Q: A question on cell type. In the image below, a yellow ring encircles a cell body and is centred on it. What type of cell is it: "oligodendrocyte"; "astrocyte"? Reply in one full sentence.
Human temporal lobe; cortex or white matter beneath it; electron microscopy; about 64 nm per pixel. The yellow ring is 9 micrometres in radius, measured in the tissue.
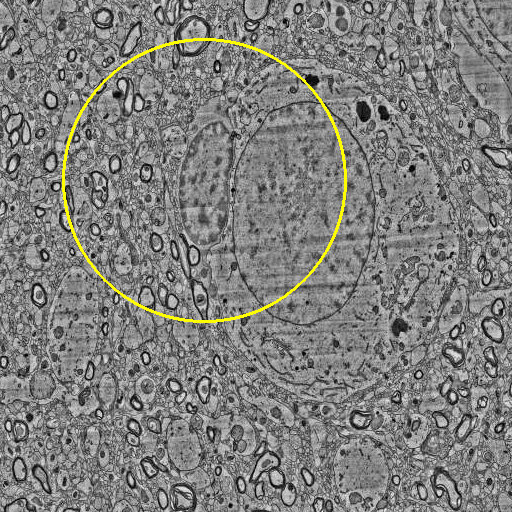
It is an oligodendrocyte whose cell body sits at the centre of the yellow ring in the image.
